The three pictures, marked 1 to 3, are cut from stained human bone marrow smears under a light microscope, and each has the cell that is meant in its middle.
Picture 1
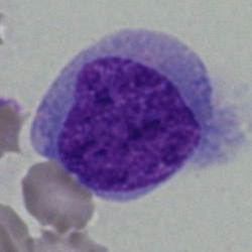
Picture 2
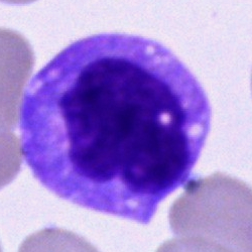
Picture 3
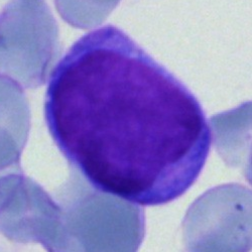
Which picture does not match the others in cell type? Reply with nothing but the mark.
2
